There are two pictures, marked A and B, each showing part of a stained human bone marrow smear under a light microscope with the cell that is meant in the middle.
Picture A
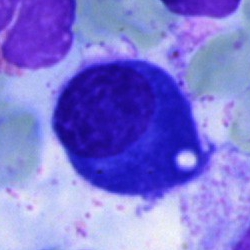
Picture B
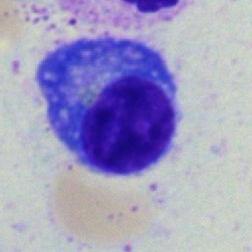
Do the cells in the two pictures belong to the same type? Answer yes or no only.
yes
